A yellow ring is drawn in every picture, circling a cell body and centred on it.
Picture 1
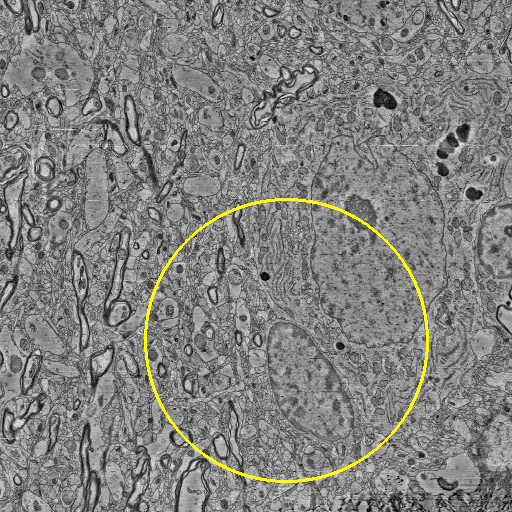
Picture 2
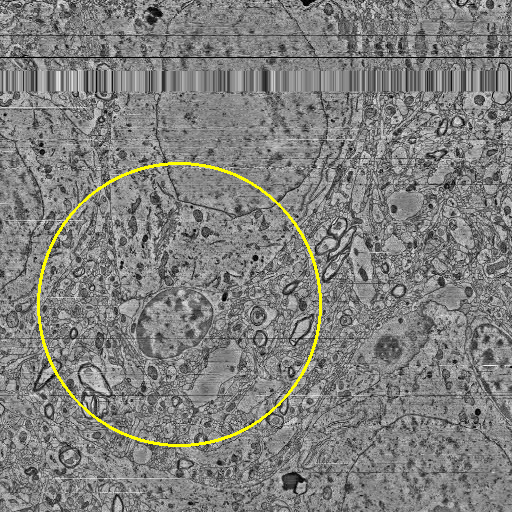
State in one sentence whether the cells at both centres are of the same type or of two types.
The cells at the two ring centres, one per picture, are of two types.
